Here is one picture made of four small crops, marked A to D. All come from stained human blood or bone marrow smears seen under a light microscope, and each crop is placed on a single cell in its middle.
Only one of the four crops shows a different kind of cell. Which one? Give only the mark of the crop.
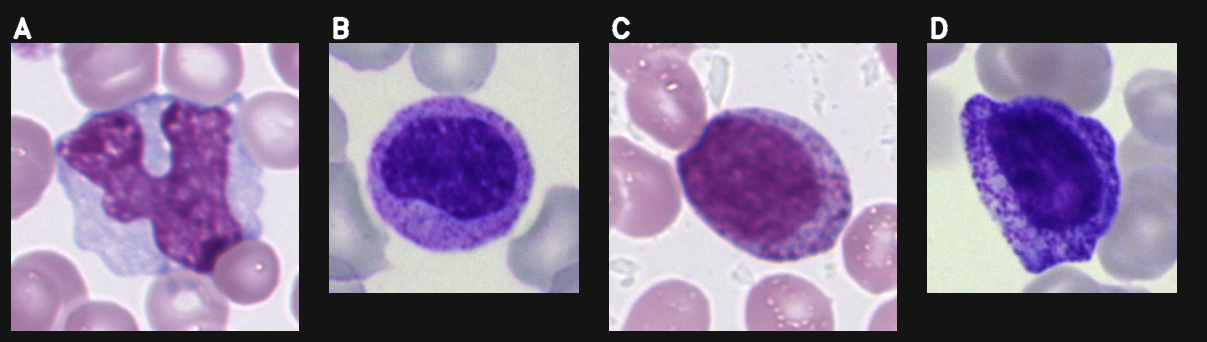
A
